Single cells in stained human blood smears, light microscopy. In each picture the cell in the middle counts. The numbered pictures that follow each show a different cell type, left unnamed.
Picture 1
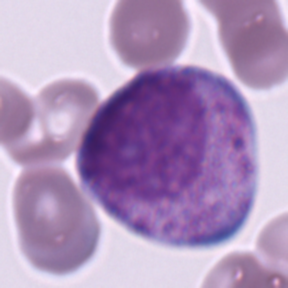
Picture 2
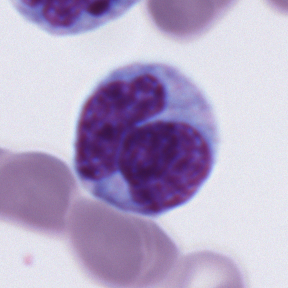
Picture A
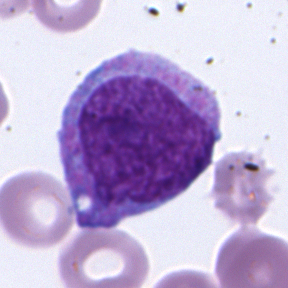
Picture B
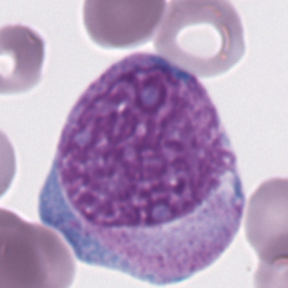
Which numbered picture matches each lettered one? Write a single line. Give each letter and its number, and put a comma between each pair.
A 1, B 1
